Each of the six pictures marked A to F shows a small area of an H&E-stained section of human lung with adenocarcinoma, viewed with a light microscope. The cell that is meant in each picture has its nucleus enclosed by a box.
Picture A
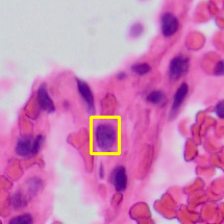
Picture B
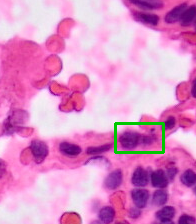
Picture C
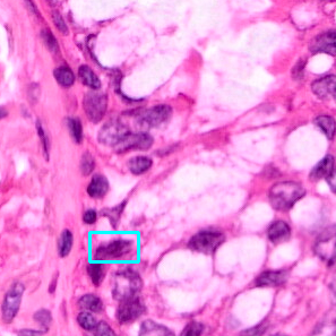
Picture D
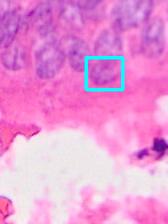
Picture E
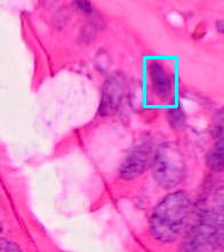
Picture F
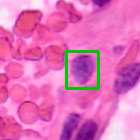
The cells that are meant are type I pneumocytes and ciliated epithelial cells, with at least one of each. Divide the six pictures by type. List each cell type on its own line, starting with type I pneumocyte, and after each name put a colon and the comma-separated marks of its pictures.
type I pneumocyte: A, B, F
ciliated epithelial cell: C, D, E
